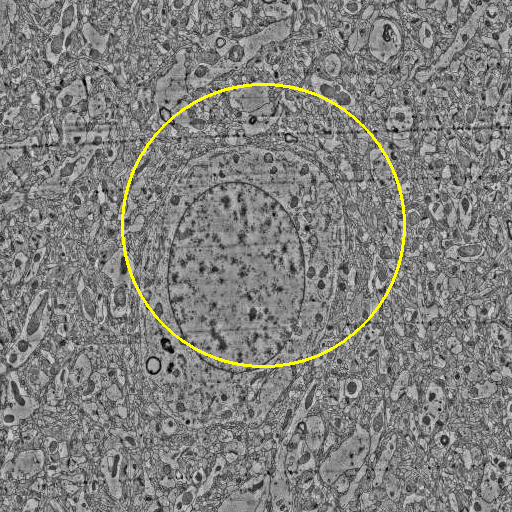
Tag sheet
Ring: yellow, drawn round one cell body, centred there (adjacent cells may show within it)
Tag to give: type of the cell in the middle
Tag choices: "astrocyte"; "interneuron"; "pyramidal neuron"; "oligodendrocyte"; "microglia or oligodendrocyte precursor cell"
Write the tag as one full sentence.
I tag the cell centred in the yellow ring as a pyramidal neuron in this picture.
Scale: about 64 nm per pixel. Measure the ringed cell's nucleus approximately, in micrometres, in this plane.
In this plane the nucleus spans approximately 12 by 9 micrometers.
